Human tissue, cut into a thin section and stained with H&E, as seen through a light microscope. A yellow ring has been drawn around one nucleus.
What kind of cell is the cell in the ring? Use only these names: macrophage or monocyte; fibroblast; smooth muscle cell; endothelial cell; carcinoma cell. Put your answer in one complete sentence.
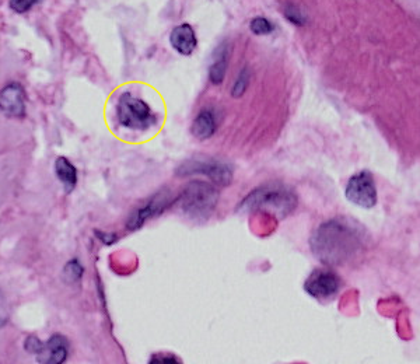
The cell in the ring is a macrophage or monocyte.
